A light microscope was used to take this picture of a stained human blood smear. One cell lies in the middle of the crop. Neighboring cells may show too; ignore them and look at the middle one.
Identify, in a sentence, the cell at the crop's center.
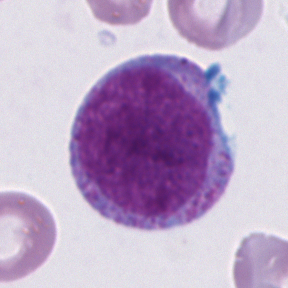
Within this crop, a promyelocyte occupies the central position.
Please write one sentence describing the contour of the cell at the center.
Its outline is ragged or drawn out into projections, not smooth.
